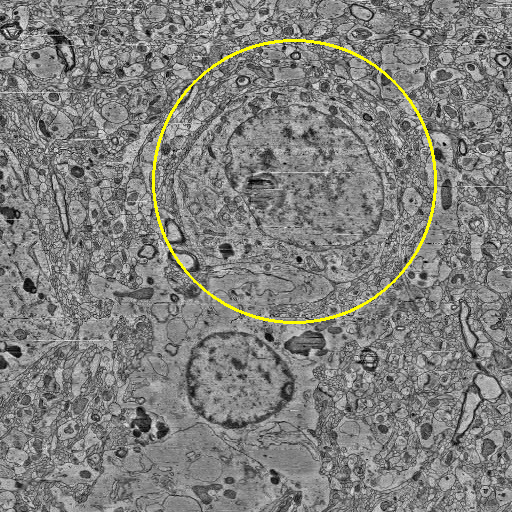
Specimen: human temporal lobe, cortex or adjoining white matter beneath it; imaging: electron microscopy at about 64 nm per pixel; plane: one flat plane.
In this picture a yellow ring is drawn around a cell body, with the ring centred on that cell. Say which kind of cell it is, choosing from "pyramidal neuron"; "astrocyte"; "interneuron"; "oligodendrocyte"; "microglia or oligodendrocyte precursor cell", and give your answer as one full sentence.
Here it is an interneuron that sits at the centre of the drawn yellow ring.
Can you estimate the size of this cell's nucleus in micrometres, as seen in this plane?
Approximately 11 x 9 micrometres in this plane.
